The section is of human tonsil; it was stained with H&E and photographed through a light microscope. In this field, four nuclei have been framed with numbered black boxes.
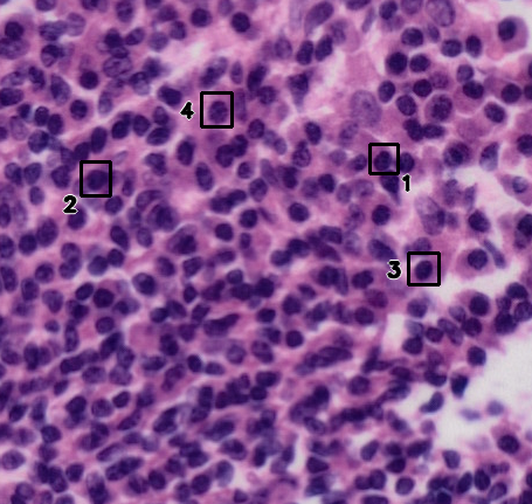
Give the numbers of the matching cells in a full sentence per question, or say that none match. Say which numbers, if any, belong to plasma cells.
As for the cells numbered 1, 3 and 4, they are plasma cells.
